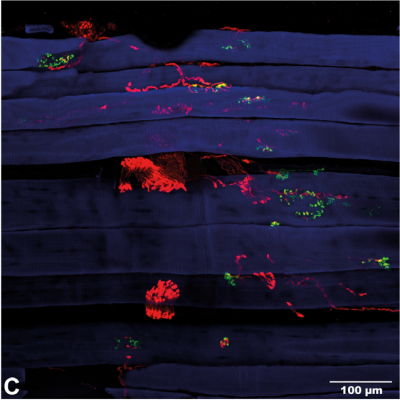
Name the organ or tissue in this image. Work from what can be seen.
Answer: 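Muscle. Long parallel blue fibres lie side by side across the panel. Small green clusters and red fibres sit on the fibres.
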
